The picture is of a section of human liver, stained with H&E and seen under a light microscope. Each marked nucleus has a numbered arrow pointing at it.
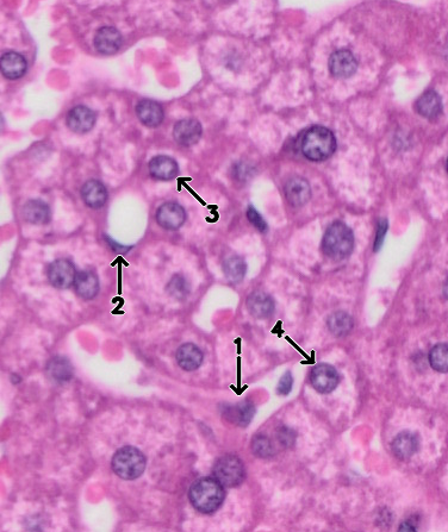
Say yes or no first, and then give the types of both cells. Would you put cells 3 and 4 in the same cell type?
Yes, it is as hepatocytes that cells 3 and 4 are both classified.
